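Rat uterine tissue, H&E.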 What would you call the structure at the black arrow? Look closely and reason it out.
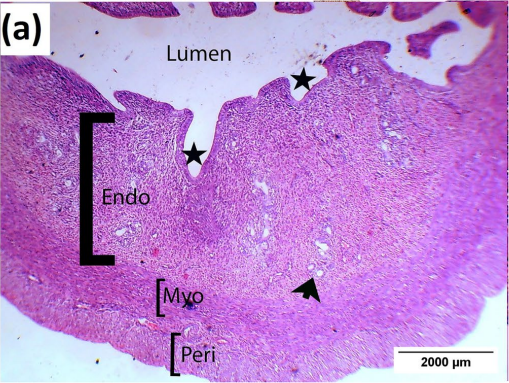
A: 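Endometrial gland. The arrow points at small round open spaces within the inner stromal layer. These spaces are lined by a thin layer of cells.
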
